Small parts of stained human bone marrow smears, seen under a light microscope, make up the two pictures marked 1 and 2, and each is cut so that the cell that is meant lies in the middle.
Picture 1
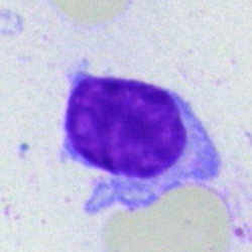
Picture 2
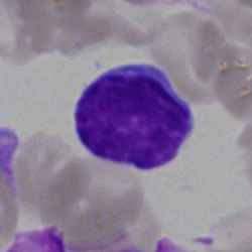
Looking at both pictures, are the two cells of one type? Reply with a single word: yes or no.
yes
